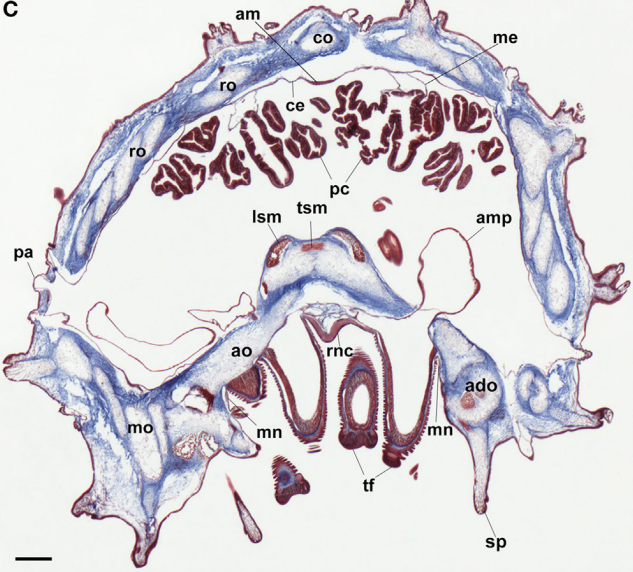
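This cross-section of a starfish arm shows a thick, arching body wall made of pale, white-appearing skeletal plates embedded in and linked by blue-stained collagenous tissue. Inside the arch hang the highly folded, dark red-stained digestive pouches, attached to the upper wall by thin sheets. On the lower side lie two rows of elongated tube feet with red-stained muscular walls, with a V-shaped nerve cord running between them, and a thin-walled, balloon-like sac connected above. Small projections such as spines stick out from the outer surface of the body wall.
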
